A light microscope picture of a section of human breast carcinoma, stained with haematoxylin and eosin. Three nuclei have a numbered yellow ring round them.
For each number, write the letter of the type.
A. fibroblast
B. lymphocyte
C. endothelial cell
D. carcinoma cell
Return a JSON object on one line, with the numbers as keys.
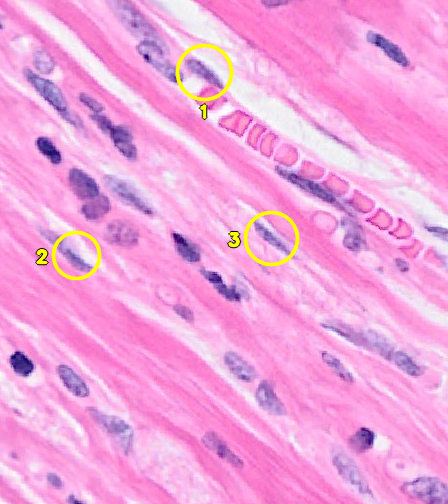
{"1": "C", "2": "A", "3": "A"}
